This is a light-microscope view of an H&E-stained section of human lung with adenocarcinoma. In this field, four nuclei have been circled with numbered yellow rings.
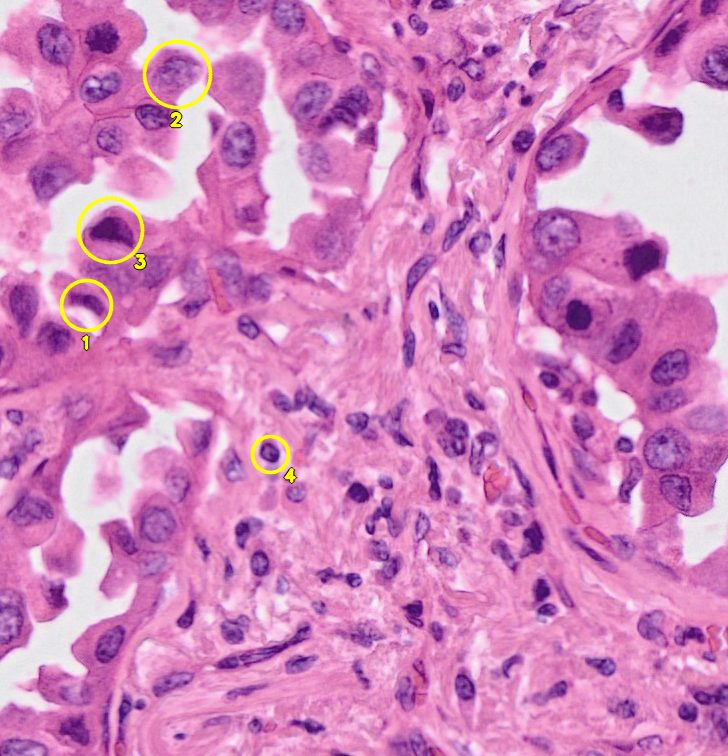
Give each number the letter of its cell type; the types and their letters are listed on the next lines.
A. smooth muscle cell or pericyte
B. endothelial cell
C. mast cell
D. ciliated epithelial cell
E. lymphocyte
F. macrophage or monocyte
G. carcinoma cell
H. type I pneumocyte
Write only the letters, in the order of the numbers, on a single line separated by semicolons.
G; G; G; E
